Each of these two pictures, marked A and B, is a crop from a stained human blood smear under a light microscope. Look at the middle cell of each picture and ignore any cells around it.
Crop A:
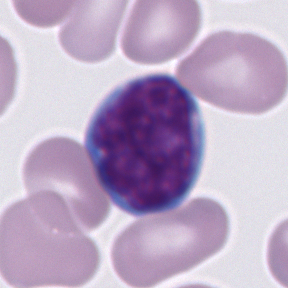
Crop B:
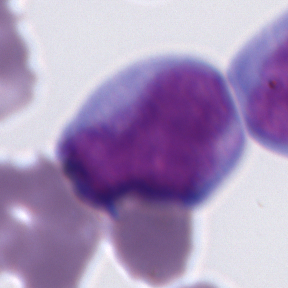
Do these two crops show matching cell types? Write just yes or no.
no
